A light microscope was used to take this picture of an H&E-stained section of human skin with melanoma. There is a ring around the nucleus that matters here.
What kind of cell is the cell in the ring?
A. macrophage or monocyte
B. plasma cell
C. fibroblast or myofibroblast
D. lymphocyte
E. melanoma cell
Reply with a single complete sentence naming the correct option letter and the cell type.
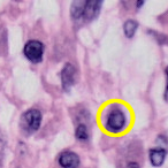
Option A correctly identifies the cell in the ring as a macrophage or monocyte.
